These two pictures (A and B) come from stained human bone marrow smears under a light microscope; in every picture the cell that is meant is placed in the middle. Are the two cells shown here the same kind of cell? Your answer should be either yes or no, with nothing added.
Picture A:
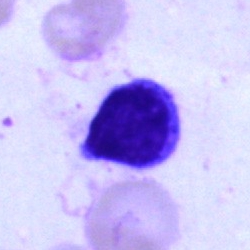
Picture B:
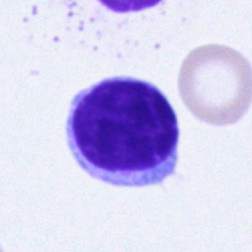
yes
